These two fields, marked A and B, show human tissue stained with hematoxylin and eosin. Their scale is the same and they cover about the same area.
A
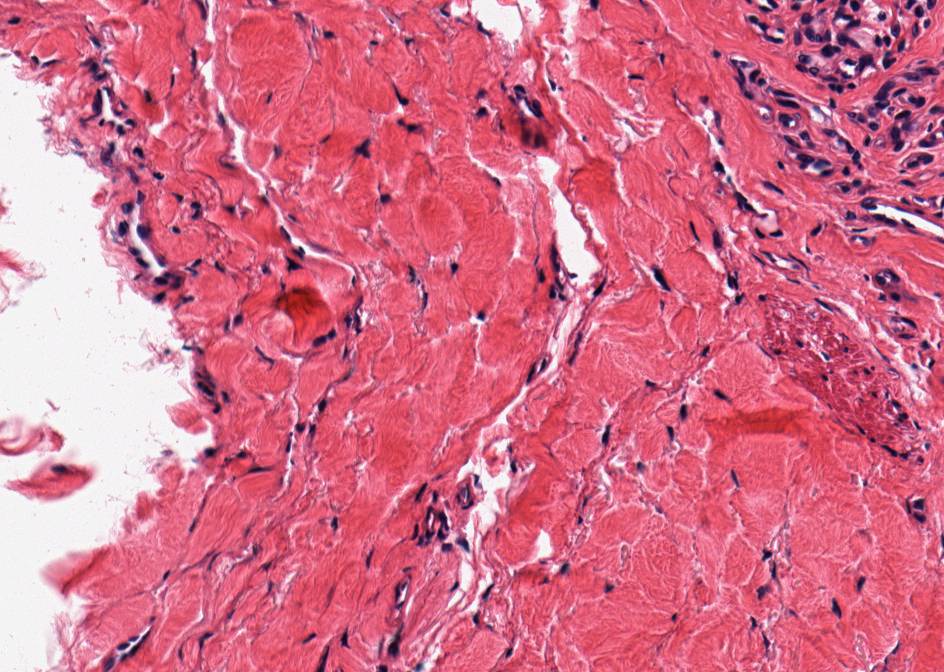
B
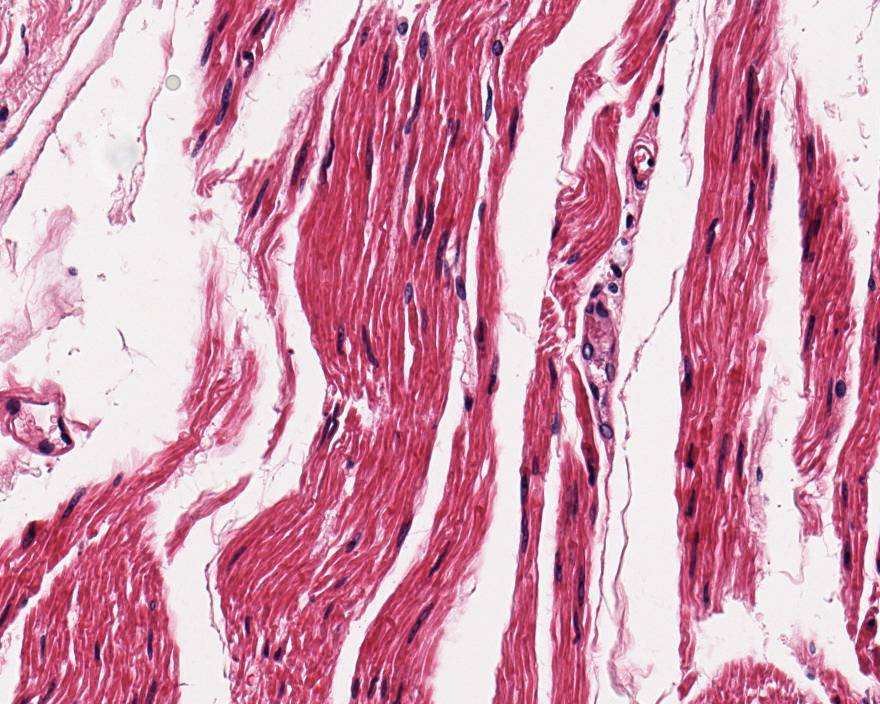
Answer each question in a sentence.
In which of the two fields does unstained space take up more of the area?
It is picture B in which white space covers the larger part.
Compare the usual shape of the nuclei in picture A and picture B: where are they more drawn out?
Longer, more slender nuclei lie in picture B.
